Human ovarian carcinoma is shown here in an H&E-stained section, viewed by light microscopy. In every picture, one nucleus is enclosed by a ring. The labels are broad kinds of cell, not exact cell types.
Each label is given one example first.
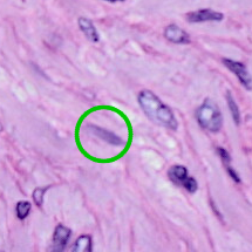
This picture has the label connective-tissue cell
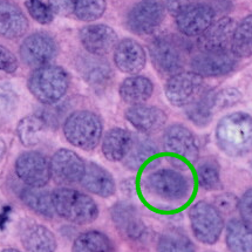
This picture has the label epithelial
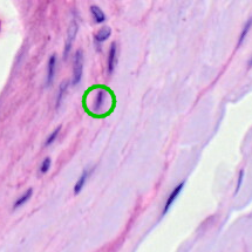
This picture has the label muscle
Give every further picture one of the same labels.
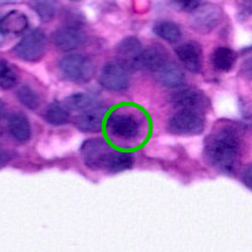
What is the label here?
epithelial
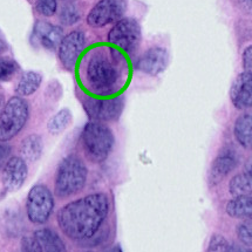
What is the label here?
epithelial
